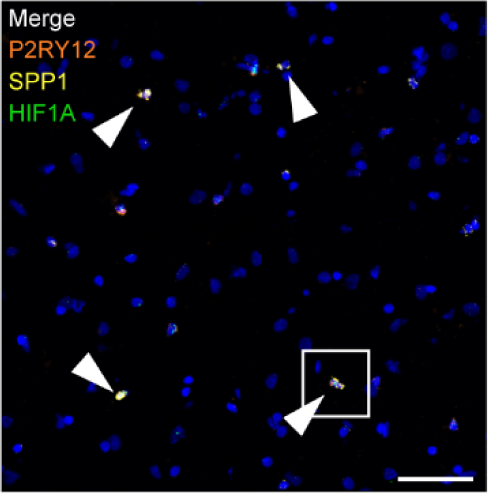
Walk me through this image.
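A field of tissue with many scattered blue nuclei, among which a few small microglia carry bright clustered puncta. In these cells yellow, orange and green dots crowd tightly around the nucleus, while most other nuclei carry few or no dots.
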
